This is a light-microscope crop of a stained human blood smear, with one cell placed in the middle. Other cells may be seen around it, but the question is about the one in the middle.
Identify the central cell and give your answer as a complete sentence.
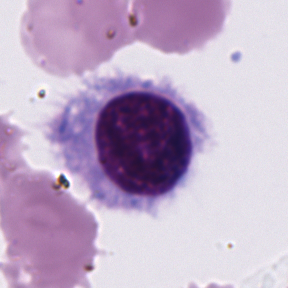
The cell the crop is centered on is a hairy cell.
